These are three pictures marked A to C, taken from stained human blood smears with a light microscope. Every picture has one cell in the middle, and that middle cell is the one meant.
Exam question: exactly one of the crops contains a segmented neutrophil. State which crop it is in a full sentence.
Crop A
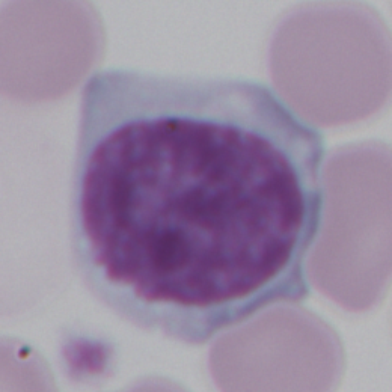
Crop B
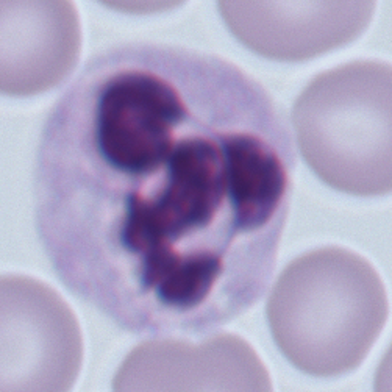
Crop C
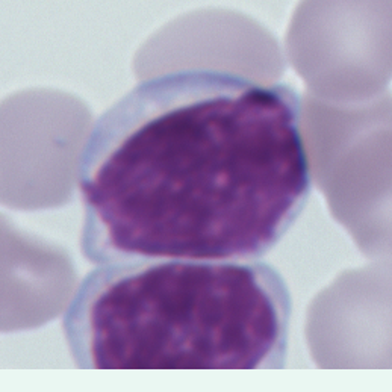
It is crop B, not any other, that shows a segmented neutrophil.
